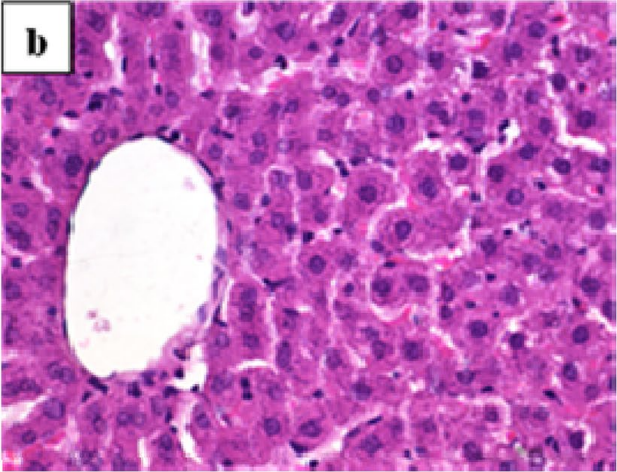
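Liver parenchyma with hepatocytes arranged in cords radiating from a central vein, seen at higher magnification. The central vein is a large empty oval space lined by a thin layer of flattened cells. Hepatocytes are polygonal with evenly pink cytoplasm and round, centrally placed dark purple nuclei, some with visible nucleoli. Narrow pale sinusoids run between the cords, with a few small dark elongated nuclei along their walls. The arrangement is regular without clearing of the cytoplasm.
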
